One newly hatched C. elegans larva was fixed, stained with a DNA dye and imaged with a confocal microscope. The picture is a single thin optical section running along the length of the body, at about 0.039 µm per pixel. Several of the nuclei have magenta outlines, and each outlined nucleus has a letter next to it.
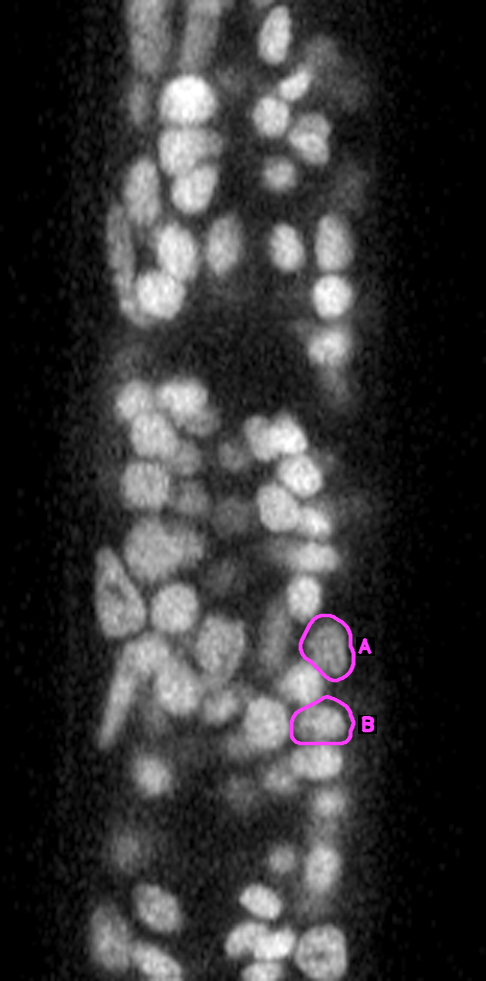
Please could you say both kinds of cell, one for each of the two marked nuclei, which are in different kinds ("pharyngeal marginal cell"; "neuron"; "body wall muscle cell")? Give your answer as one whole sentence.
The nucleus A is that of a body wall muscle cell, while B is that of a neuron.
